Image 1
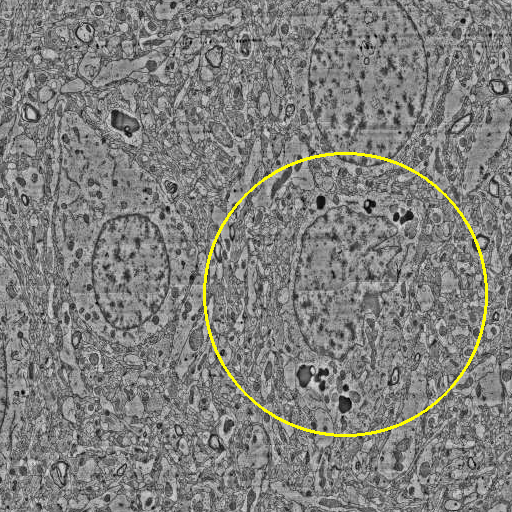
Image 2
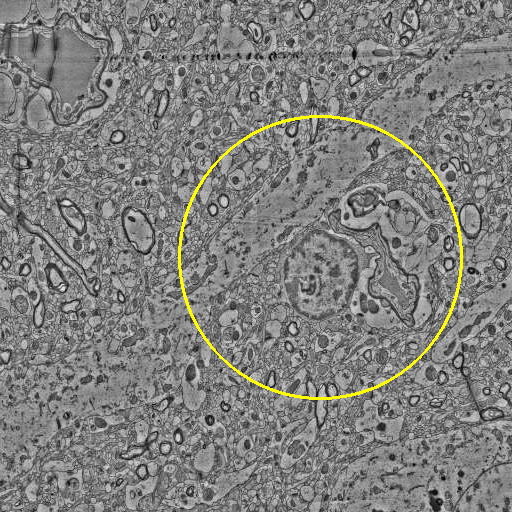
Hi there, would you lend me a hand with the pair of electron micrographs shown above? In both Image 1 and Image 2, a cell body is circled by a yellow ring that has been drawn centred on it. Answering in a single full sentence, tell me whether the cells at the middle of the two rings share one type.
No, the ringed cells in Image 1 and Image 2 belong to two types.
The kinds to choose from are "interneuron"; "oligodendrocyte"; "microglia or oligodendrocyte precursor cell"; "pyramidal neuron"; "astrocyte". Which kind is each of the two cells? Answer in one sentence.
Of the two, the first cell is an interneuron and the second cell is an oligodendrocyte.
